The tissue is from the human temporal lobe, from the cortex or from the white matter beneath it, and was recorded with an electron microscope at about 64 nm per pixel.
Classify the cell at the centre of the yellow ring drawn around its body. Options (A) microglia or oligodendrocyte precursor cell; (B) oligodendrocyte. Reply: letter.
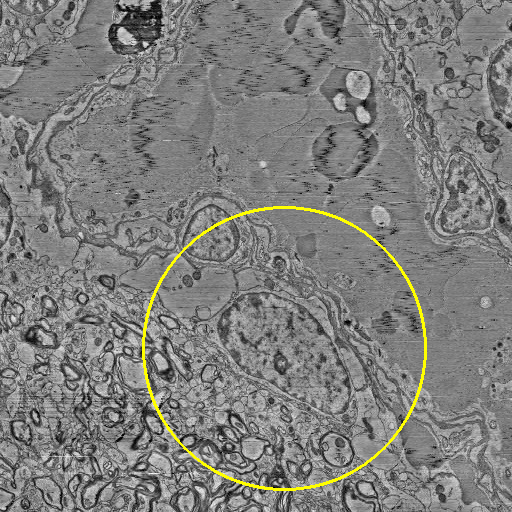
A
